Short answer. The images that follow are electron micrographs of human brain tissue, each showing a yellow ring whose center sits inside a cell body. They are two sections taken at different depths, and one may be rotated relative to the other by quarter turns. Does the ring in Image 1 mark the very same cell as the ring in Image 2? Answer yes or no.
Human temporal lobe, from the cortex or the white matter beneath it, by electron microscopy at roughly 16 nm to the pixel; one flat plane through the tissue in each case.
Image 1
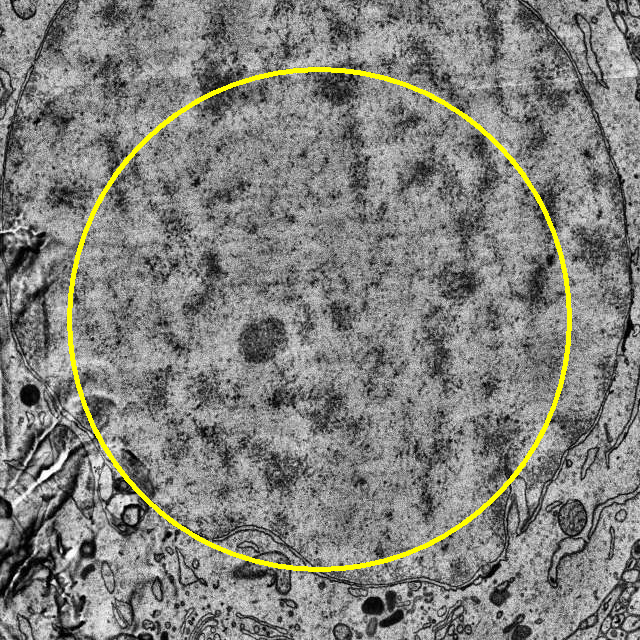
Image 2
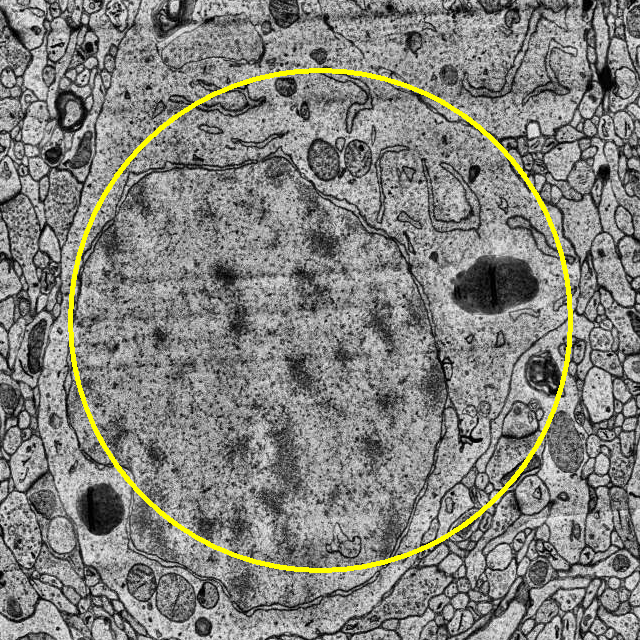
no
